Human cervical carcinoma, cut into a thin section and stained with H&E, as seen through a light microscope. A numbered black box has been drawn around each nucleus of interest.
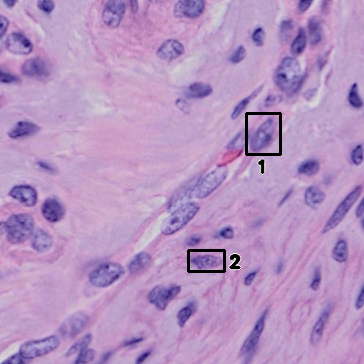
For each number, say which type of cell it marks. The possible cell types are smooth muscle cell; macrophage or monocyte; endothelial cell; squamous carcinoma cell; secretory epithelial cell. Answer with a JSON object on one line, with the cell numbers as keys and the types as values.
{"1": "endothelial cell", "2": "smooth muscle cell"}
